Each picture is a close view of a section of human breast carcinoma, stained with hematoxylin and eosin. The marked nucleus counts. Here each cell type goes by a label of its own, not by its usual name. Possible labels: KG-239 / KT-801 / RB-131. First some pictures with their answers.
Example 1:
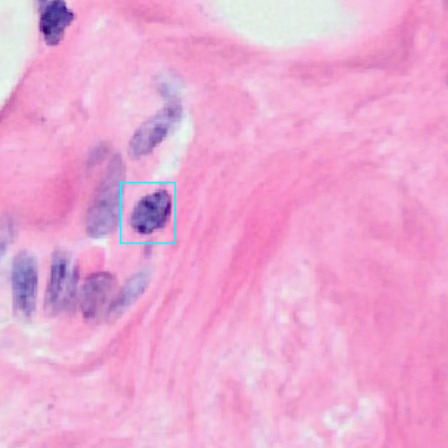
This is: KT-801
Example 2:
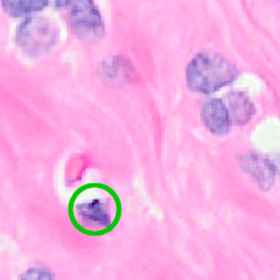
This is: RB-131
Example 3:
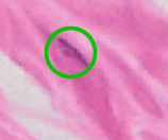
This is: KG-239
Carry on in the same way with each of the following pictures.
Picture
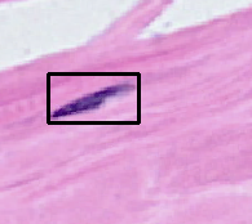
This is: KG-239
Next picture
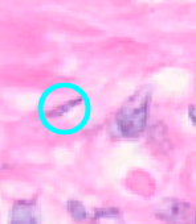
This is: KG-239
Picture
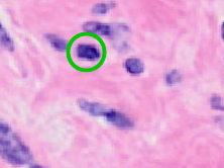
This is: KT-801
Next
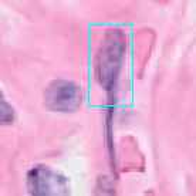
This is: RB-131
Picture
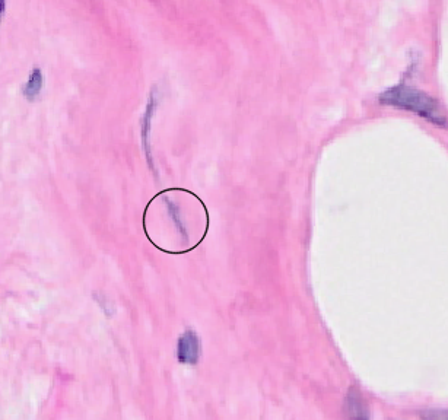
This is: KG-239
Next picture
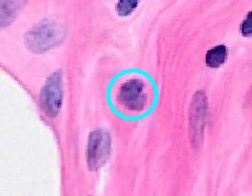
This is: KT-801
